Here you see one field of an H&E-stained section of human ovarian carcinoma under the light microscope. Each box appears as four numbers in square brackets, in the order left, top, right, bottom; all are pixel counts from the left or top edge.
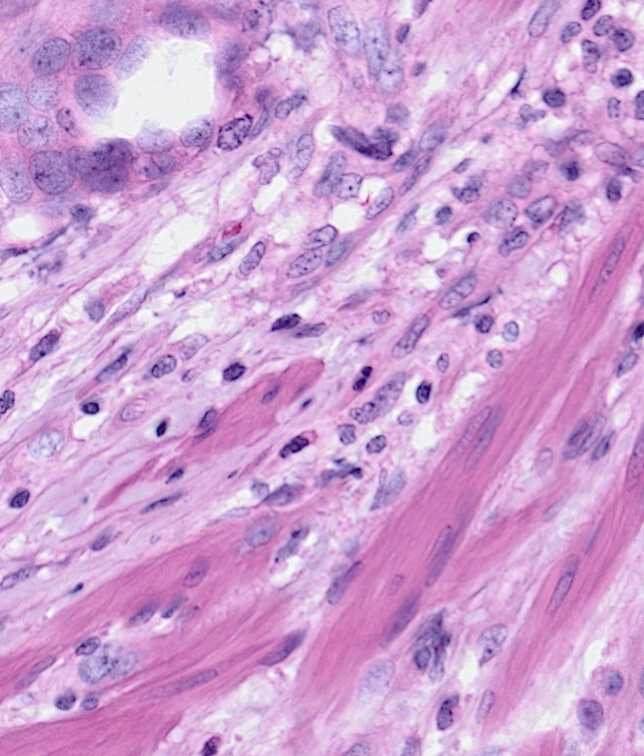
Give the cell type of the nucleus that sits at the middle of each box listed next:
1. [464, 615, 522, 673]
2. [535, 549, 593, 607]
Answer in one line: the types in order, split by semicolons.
fibroblast; smooth muscle cell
